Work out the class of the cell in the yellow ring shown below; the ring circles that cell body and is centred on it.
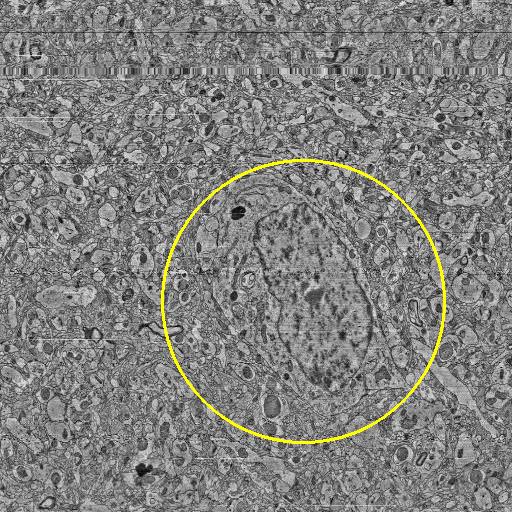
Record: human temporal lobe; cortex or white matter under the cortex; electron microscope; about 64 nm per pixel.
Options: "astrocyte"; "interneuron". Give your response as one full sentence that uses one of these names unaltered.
The body ringed in yellow, right at the ring's centre, is that of an interneuron.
